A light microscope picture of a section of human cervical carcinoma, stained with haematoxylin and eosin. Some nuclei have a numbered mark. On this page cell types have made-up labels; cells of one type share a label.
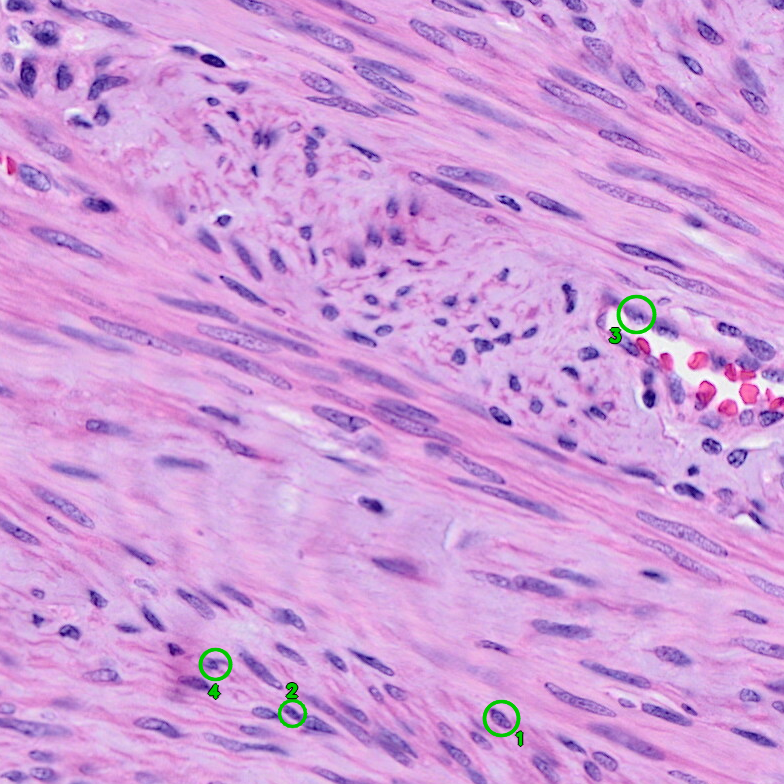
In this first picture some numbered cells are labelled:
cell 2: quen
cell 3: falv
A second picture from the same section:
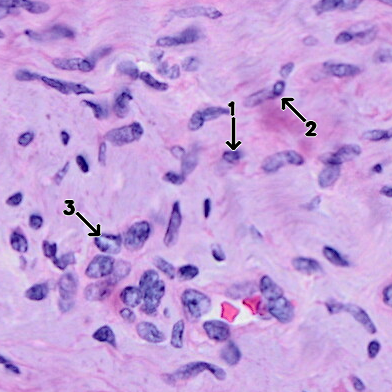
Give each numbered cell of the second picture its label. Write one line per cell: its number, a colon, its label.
1: quen
2: quen
3: falv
